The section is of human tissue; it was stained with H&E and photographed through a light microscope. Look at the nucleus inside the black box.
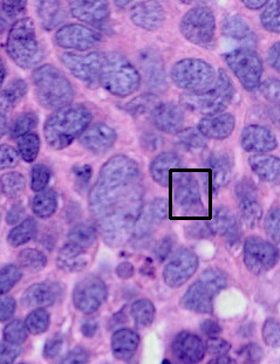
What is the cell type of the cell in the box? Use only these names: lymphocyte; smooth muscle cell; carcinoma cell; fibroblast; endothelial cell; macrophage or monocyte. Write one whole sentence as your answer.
Assigned to a cell type, the cell in the box is a carcinoma cell.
